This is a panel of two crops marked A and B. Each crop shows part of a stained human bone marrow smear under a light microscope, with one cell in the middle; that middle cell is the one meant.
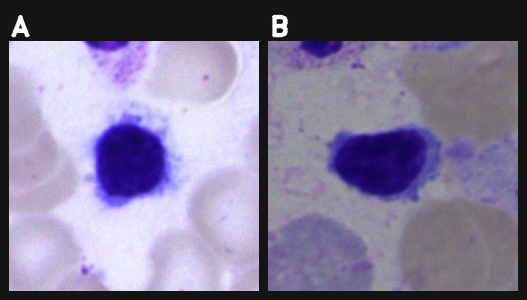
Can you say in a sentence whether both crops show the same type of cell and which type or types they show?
Yes, lymphocytes are the cells in the middle of both crops.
